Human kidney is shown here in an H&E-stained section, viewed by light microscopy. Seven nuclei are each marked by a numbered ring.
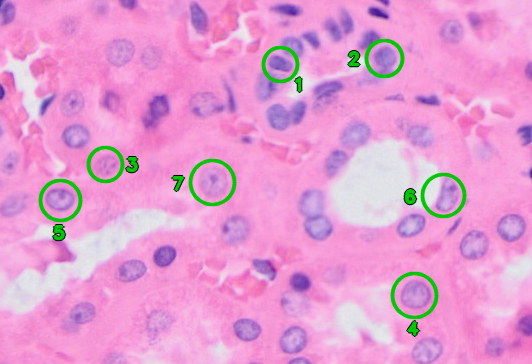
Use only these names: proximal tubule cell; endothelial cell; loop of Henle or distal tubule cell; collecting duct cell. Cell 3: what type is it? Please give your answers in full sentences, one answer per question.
The one numbered 3 among the marked cells is a proximal tubule cell.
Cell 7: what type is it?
Cell 7 of the marked set is a proximal tubule cell.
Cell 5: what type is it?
The cell marked with number 5 is a proximal tubule cell.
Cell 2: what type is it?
The nucleus labeled 2 belongs to a collecting duct cell.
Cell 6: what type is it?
At number 6, the marked cell is a loop of Henle or distal tubule cell.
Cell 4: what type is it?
Here the cell numbered 4 is a proximal tubule cell.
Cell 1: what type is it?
The cell tagged with 1 in this tissue section is a collecting duct cell.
